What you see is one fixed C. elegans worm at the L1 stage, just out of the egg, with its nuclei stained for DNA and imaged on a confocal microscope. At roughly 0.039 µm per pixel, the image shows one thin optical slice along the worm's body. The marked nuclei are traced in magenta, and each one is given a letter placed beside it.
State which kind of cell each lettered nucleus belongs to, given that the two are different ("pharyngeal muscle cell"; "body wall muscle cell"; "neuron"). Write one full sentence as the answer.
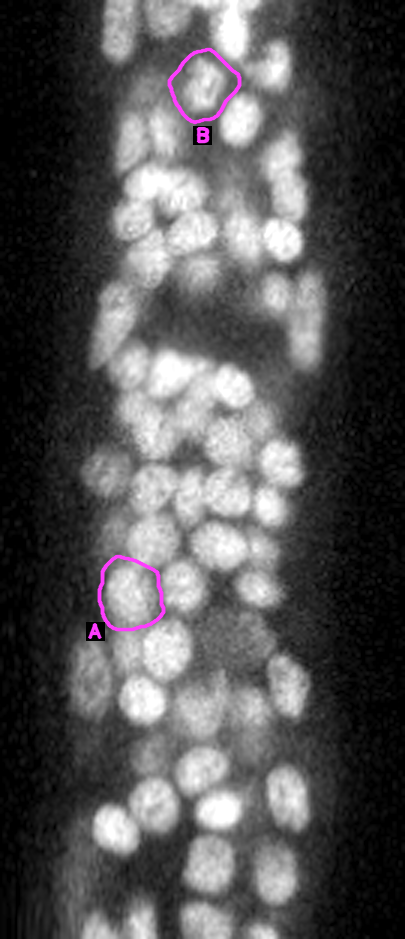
A is from a neuron, and B is from a pharyngeal muscle cell.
